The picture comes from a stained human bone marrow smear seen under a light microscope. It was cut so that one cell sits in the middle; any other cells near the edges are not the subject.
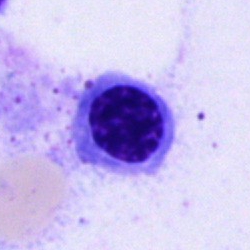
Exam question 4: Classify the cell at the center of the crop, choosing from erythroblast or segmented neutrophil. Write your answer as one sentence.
Occupying the centre of the crop is an erythroblast.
